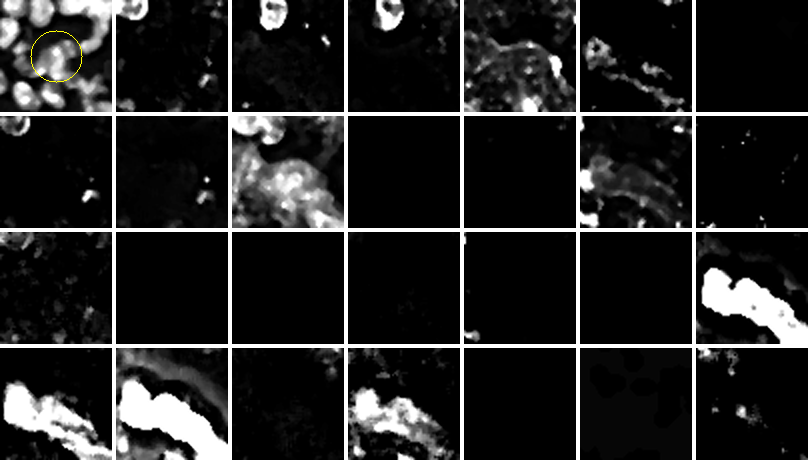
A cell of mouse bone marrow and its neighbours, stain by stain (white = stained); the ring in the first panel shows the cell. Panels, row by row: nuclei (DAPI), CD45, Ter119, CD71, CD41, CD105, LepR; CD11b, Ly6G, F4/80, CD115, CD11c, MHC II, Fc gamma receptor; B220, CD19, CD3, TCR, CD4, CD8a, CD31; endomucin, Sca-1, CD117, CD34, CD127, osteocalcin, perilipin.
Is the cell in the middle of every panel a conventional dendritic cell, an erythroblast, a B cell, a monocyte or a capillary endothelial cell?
It is a capillary endothelial cell.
